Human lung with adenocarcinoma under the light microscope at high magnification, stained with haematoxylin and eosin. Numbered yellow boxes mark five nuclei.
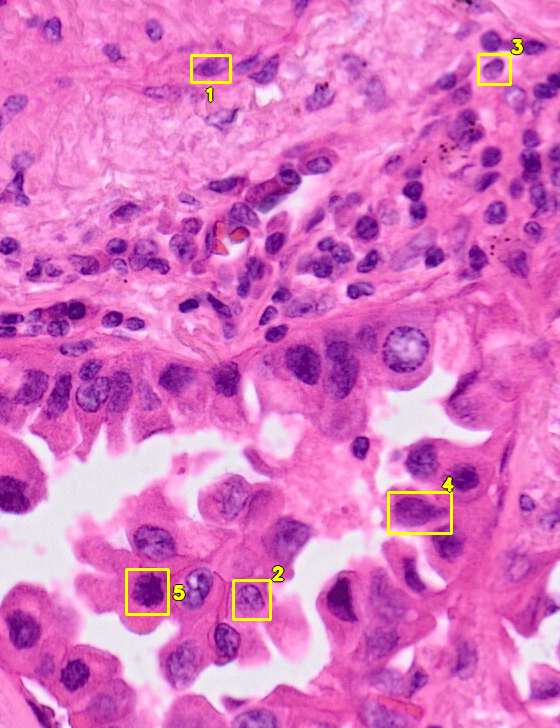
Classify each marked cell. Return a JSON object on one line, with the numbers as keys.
{"1": "smooth muscle cell or pericyte", "2": "carcinoma cell", "3": "lymphocyte", "4": "carcinoma cell", "5": "carcinoma cell"}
